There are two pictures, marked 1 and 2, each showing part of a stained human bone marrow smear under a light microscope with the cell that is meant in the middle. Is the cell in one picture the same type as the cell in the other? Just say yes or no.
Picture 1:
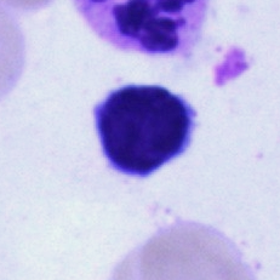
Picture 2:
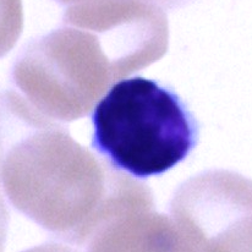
yes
